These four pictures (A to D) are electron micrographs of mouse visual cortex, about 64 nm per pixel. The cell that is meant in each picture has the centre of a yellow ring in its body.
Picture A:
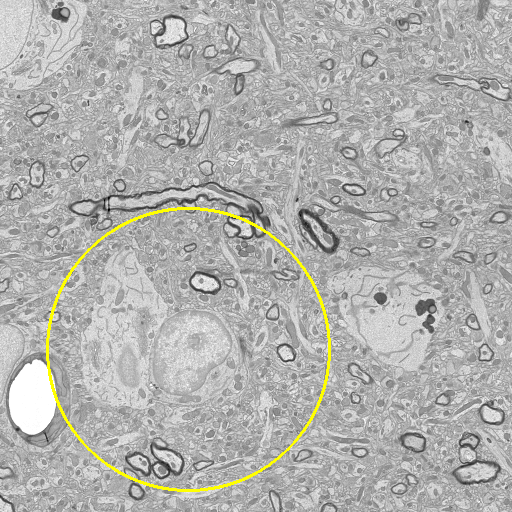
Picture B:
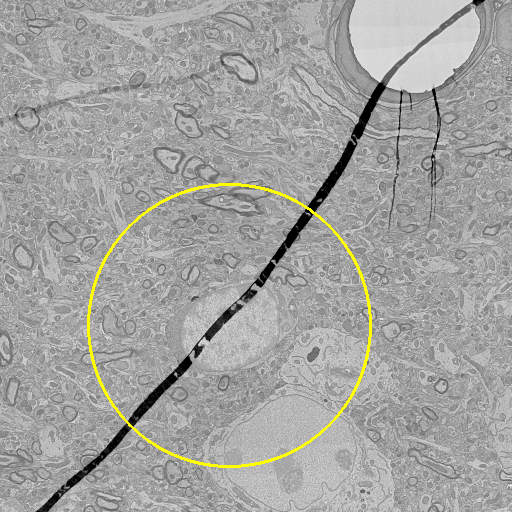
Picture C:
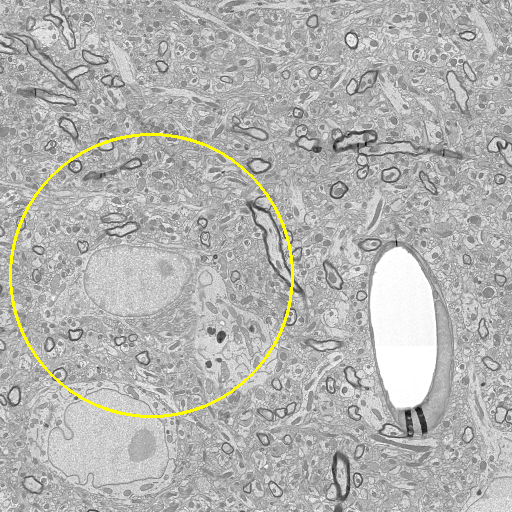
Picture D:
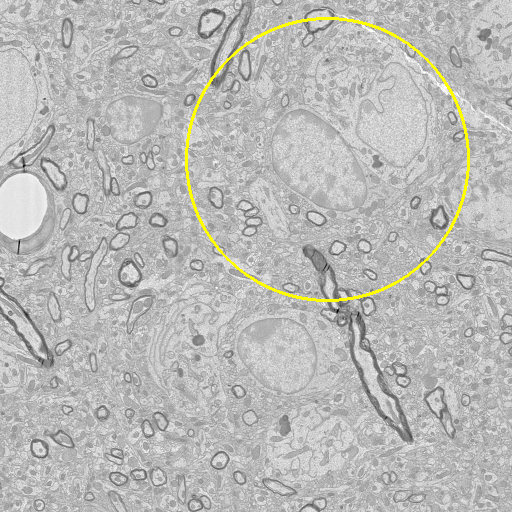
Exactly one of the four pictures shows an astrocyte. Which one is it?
The picture with the astrocyte is C.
